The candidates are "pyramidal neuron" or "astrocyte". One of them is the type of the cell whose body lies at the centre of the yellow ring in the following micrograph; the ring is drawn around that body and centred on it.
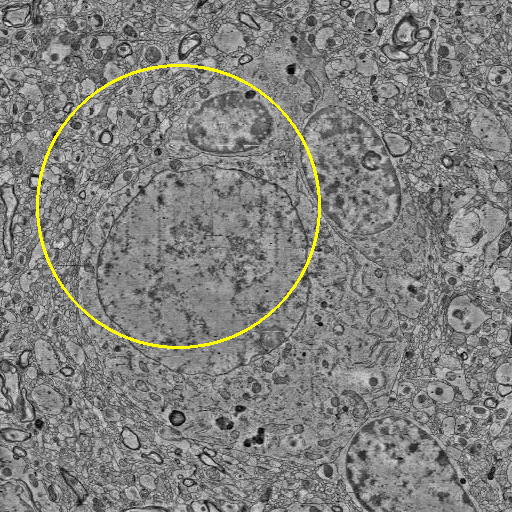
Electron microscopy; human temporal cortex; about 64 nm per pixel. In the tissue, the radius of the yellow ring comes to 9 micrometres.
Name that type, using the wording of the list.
pyramidal neuron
